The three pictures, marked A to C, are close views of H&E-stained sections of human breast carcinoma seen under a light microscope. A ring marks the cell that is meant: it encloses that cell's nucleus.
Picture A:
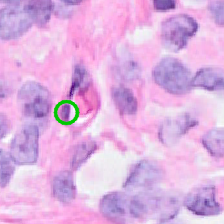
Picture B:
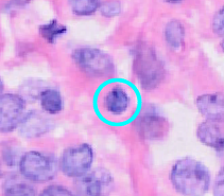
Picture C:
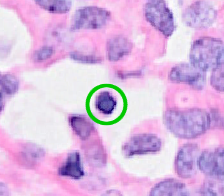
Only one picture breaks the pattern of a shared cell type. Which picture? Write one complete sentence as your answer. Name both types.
Picture A differs, because its cell is an endothelial cell and the rest are lymphocytes.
